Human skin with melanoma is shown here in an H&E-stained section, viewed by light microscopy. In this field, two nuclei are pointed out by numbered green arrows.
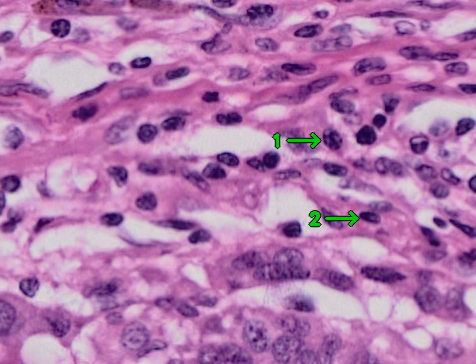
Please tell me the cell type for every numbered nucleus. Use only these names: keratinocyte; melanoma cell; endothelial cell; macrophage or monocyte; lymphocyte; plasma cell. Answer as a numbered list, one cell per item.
1. plasma cell
2. lymphocyte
